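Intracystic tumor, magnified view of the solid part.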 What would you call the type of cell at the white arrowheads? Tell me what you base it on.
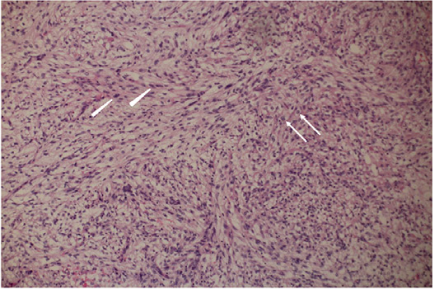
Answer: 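Elongated cells with long, slender nuclei. Cells lie in streaming, interlacing fascicles.
Answer: spindle cells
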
